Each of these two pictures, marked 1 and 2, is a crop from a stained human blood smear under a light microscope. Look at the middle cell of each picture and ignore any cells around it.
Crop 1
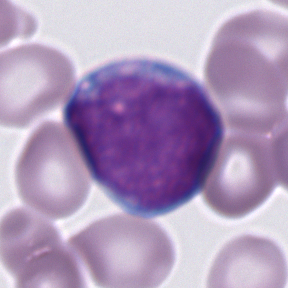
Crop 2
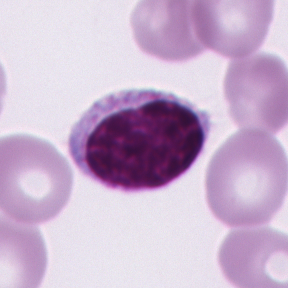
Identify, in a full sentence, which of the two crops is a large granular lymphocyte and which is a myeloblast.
The cell at the centre of crop 1 is a myeloblast, and at the centre of crop 2, a large granular lymphocyte.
